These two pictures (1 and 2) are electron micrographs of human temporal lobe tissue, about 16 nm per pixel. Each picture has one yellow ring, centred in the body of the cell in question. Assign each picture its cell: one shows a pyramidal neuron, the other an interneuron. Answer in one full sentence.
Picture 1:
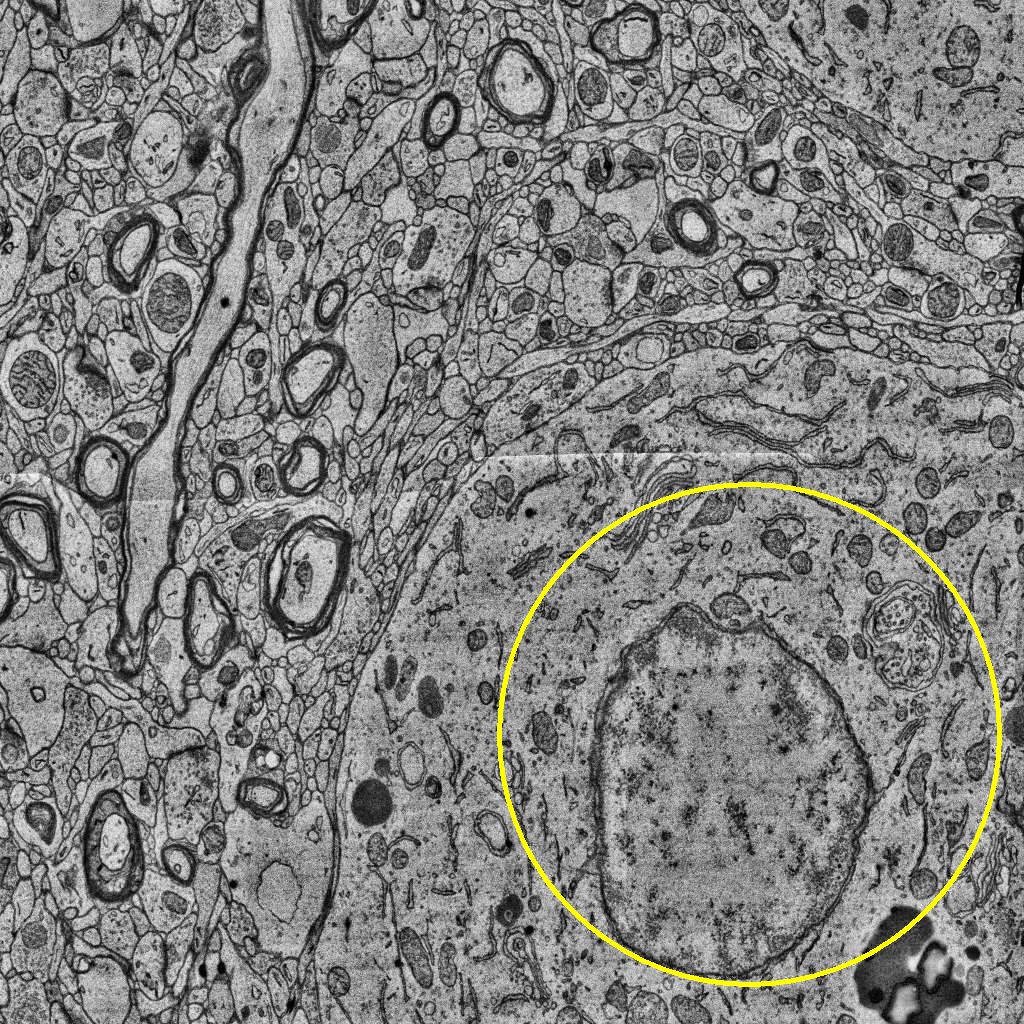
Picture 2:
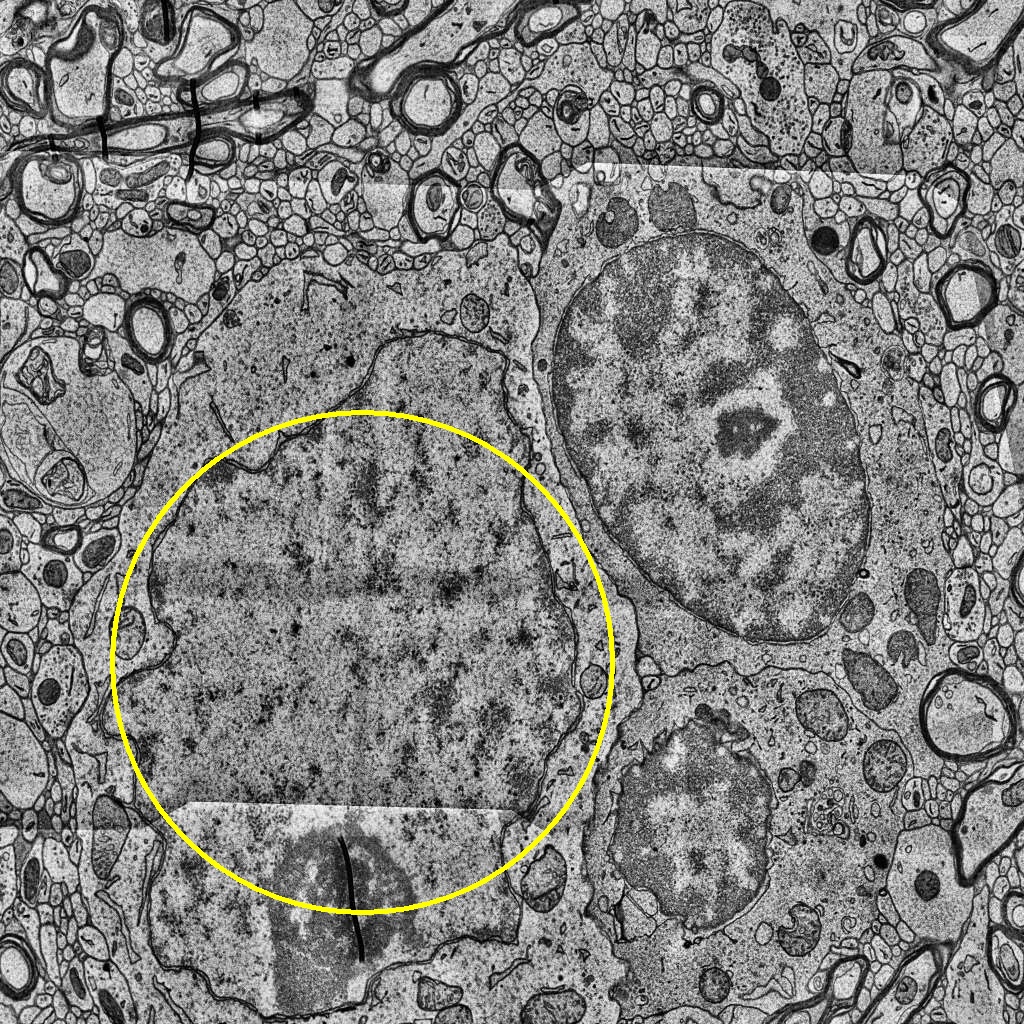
It is picture 1 that shows a pyramidal neuron, and picture 2 that shows an interneuron.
